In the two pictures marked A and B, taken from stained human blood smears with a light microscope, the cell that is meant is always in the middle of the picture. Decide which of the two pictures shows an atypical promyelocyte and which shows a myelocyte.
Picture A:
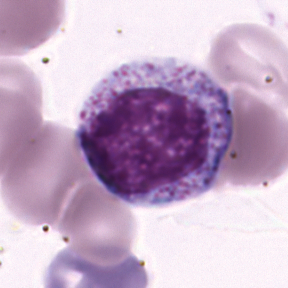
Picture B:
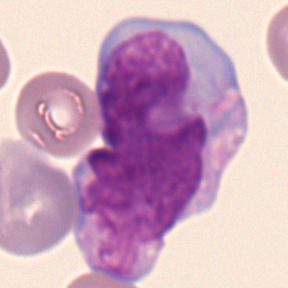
A: myelocyte
B: atypical promyelocyte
